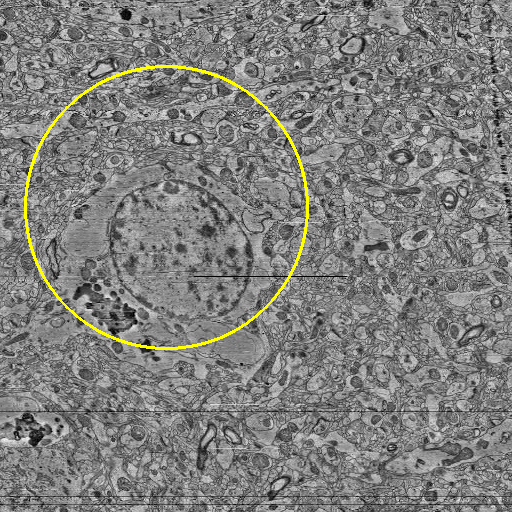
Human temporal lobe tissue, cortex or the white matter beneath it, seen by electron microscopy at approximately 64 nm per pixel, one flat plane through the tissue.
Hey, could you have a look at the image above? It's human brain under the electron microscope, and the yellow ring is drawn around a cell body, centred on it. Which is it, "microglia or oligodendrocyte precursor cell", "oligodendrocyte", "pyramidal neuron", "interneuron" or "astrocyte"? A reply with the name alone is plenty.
astrocyte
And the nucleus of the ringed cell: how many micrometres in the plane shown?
The nucleus comes to roughly 10 by 8 micrometres in this plane.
